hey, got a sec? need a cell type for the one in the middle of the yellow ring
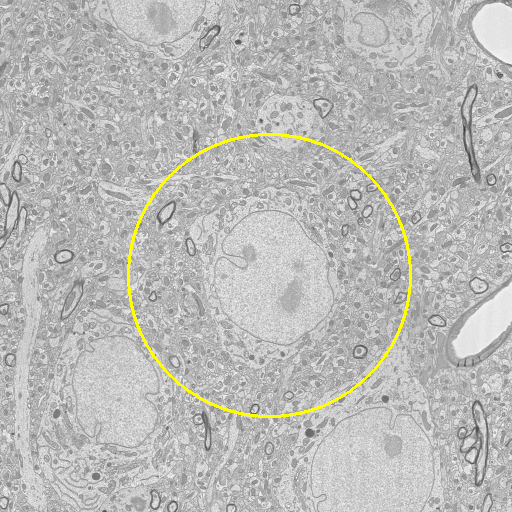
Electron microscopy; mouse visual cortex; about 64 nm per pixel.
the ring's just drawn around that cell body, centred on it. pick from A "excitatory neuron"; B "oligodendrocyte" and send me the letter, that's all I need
A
